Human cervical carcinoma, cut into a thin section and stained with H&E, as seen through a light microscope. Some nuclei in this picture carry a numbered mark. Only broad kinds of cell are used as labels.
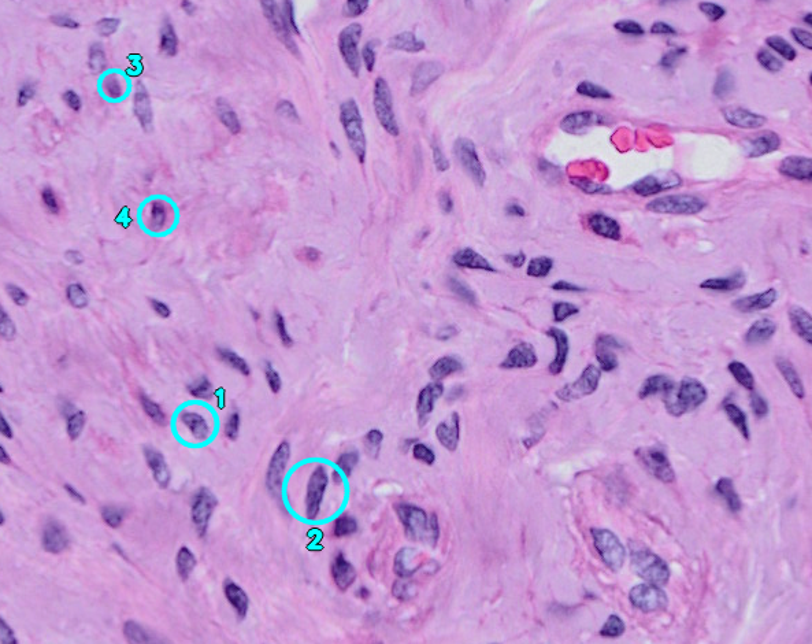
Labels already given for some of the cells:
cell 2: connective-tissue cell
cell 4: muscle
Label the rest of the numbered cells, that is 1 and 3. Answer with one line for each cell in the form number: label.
1: connective-tissue cell
3: muscle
